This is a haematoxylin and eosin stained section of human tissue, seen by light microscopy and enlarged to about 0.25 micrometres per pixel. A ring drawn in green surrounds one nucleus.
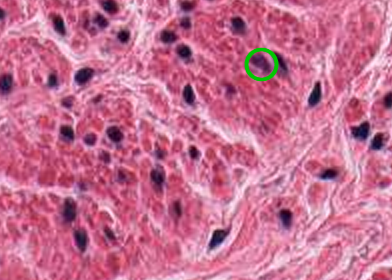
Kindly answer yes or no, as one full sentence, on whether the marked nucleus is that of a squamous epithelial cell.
No, the marked nucleus is not contained in a squamous epithelial cell.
